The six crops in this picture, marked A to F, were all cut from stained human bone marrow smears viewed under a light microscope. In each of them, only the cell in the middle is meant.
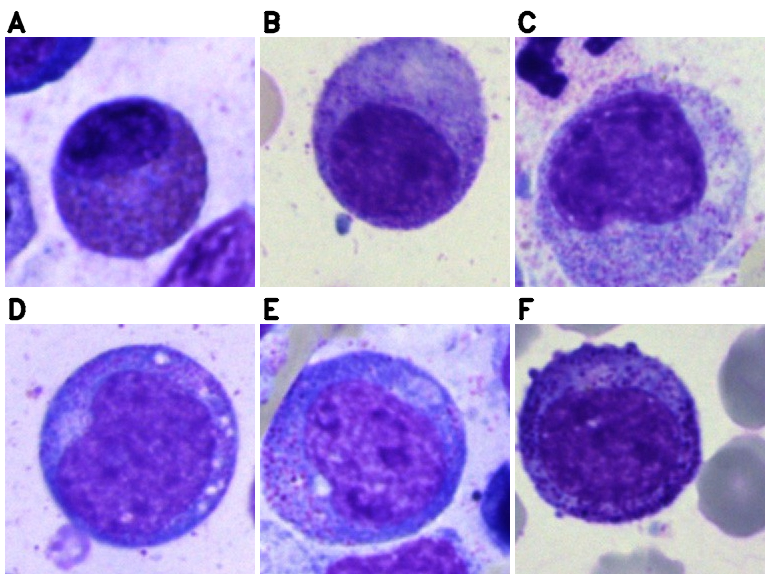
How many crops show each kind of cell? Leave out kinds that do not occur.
promyelocyte: 5
eosinophil: 1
